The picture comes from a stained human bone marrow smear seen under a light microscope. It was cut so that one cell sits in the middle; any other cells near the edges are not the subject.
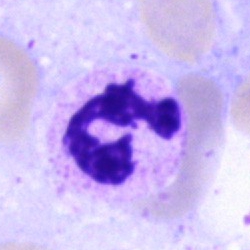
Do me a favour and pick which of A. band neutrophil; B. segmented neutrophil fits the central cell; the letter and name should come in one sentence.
The middle of the crop contains a segmented neutrophil, so option B is right.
